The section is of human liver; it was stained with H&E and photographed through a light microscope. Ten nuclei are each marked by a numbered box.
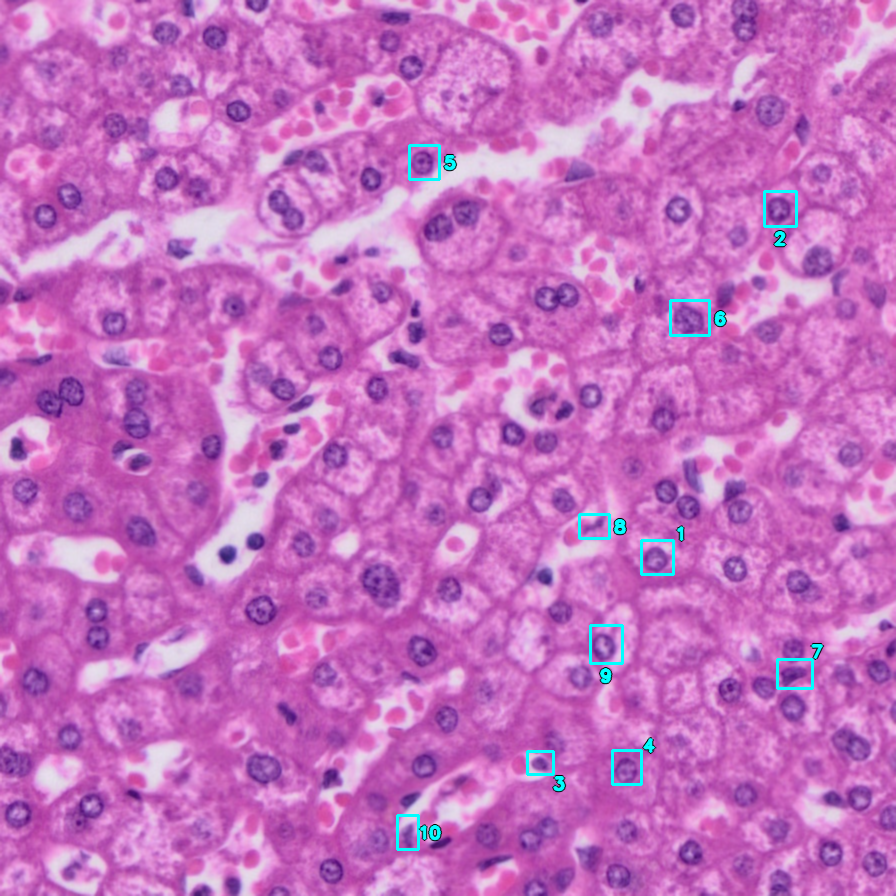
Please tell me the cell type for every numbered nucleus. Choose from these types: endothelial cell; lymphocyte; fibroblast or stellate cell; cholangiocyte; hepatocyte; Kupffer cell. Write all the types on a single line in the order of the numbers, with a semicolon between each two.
hepatocyte; hepatocyte; lymphocyte; hepatocyte; hepatocyte; hepatocyte; fibroblast or stellate cell; Kupffer cell; hepatocyte; endothelial cell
